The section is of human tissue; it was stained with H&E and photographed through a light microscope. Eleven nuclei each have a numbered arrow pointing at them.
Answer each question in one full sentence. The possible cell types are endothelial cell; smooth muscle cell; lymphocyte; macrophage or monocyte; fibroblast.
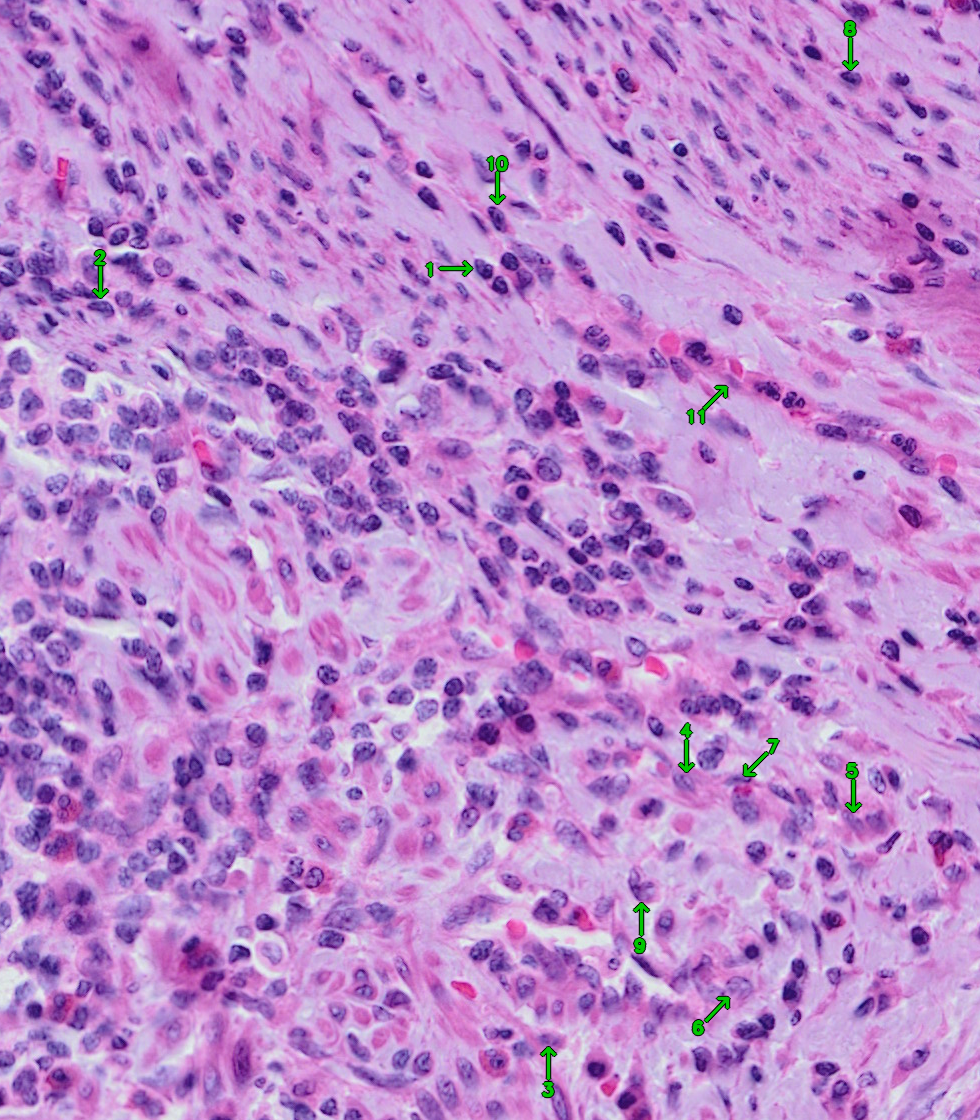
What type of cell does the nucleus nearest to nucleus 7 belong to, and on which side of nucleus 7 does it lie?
Just below nucleus 7 lies the nearest nucleus, which belongs to an endothelial cell.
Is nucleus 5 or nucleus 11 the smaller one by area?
It is nucleus 11; nucleus 5 has about 1.5 times its area.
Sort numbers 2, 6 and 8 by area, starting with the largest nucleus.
From largest to smallest, the order is 6, 2, 8.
